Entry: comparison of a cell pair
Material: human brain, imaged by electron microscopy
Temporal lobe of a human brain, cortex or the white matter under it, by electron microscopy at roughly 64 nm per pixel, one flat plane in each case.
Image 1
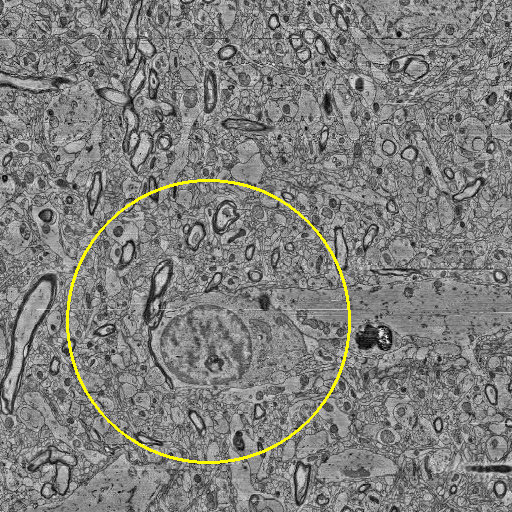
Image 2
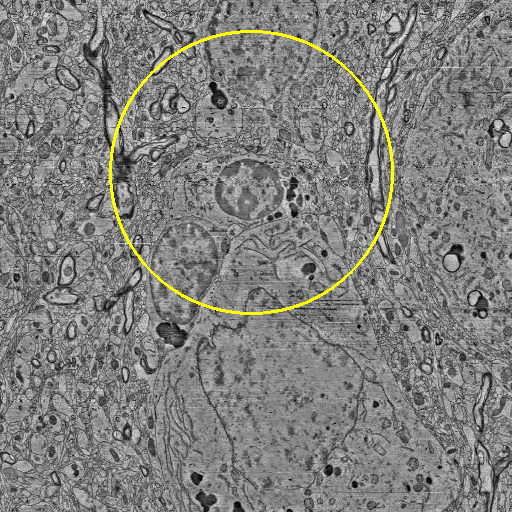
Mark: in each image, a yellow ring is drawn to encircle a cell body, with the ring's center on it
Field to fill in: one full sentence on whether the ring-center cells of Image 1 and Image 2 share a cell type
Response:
No, Image 1 and Image 2 show ring-center cells of two separate types.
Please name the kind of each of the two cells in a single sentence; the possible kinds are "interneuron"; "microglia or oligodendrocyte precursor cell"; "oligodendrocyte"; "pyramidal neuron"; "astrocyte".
In the first picture the ring is centred on an oligodendrocyte, and in the second on a microglial cell or oligodendrocyte precursor cell.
